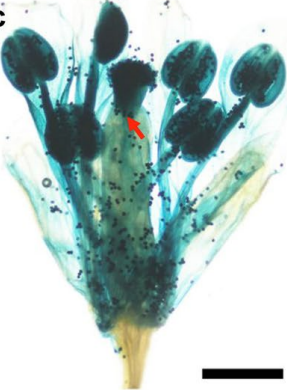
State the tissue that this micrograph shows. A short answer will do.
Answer: Floret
